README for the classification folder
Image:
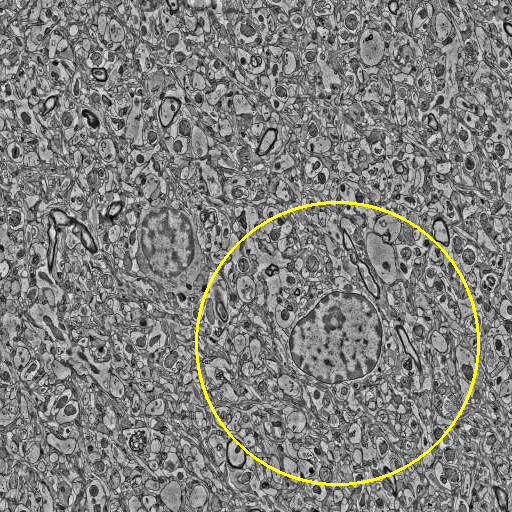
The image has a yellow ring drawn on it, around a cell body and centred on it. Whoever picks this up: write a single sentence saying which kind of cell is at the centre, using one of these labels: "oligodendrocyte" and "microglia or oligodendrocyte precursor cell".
This cell body is that of a microglial cell or oligodendrocyte precursor cell.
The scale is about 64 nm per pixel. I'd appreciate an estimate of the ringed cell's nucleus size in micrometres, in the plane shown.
In this plane the nucleus measures roughly 6 micrometres across.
